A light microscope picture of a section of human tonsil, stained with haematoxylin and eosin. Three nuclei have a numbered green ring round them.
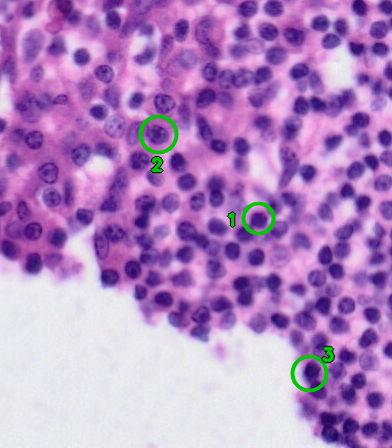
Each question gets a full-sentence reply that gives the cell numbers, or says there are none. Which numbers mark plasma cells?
With the exception of cell 2, no marked cell is a plasma cell.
